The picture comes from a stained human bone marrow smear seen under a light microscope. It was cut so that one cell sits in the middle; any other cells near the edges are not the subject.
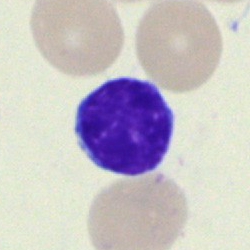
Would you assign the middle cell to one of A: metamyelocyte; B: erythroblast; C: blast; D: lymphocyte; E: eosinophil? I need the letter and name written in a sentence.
Occupying the middle of the crop is a lymphocyte, hence option D is correct.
